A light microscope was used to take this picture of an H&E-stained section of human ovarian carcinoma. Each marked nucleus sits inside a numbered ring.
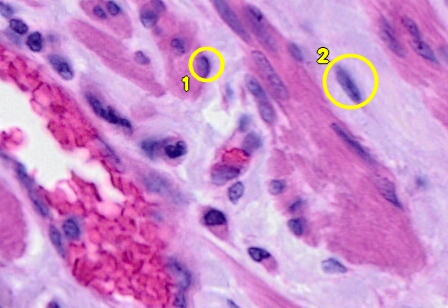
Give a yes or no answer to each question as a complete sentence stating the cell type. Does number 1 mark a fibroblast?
No, the cell at marker 1 is not a fibroblast; it is a smooth muscle cell.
